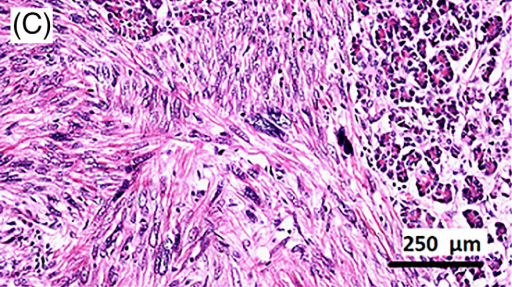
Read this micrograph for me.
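This is a tumor made of spindle cells arranged in intersecting fascicles, their cytoplasm pink and their nuclei elongated with blunt, rounded ends. The nuclei vary in size and darkness, some enlarged and very dark, a sign of cellular atypia. At the right edge lie clusters of glandular cells with granular purple-red cytoplasm, the exocrine acini that the tumor is growing into.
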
